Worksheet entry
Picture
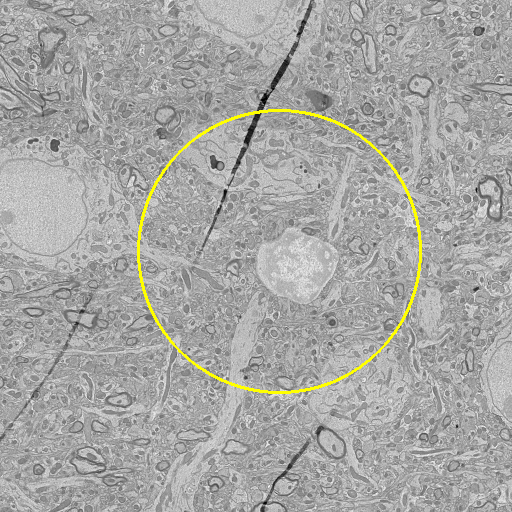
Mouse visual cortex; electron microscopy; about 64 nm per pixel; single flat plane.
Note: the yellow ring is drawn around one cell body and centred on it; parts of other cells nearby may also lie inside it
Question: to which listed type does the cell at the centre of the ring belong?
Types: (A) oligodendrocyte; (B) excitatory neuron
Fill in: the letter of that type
A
